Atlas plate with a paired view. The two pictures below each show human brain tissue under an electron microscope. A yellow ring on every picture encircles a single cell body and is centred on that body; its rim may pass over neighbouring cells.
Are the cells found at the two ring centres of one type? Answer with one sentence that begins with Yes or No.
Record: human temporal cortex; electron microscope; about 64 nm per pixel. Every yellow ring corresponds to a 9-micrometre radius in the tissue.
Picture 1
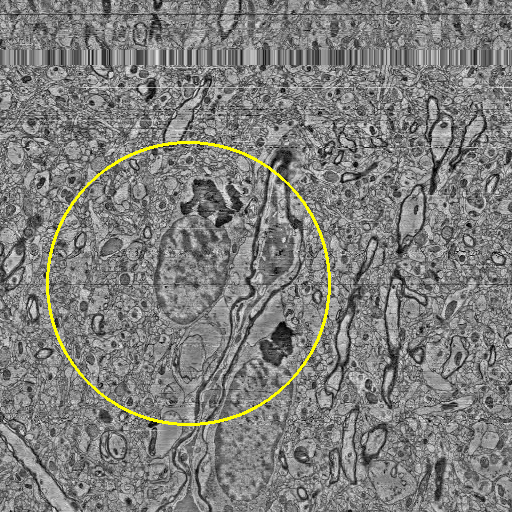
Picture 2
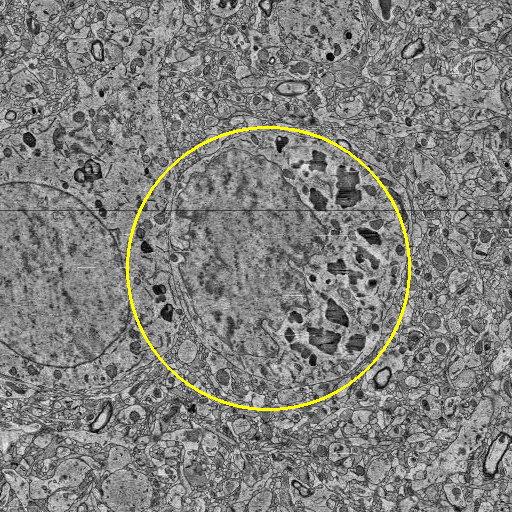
No, the two cells lying at the centres of the rings are of two types.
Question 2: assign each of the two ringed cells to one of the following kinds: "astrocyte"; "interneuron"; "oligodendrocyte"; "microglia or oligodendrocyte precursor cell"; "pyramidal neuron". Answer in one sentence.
The two cells are an oligodendrocyte in the first picture and an interneuron in the second.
